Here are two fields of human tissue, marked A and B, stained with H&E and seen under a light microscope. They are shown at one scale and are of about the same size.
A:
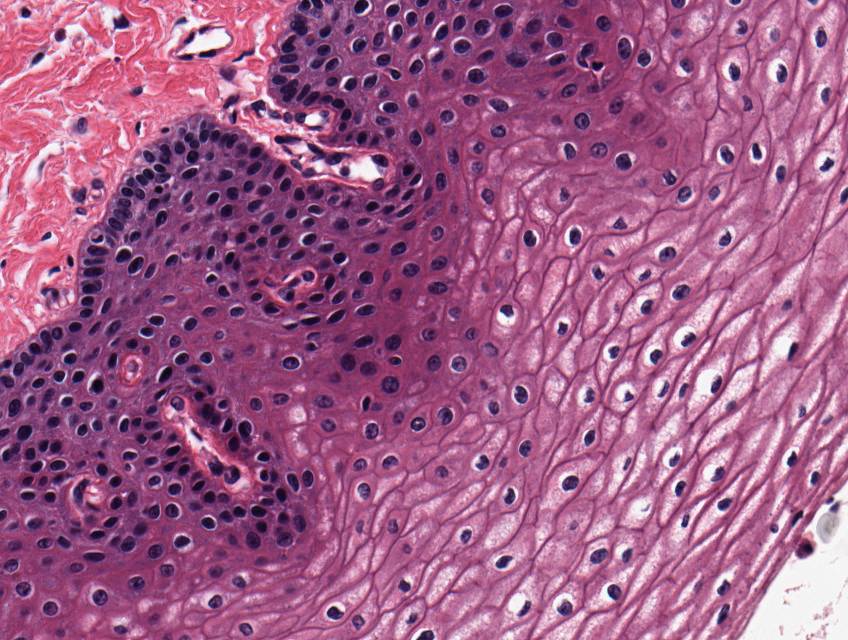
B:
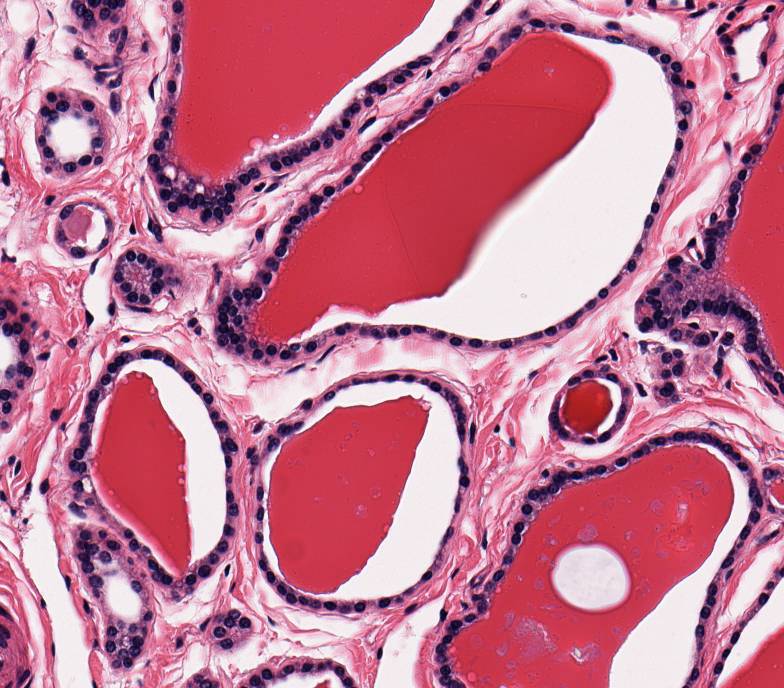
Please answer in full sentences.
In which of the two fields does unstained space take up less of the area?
Field A has less white space.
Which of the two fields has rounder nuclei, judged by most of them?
On the whole the nuclei of field A are rounder than those of field B.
